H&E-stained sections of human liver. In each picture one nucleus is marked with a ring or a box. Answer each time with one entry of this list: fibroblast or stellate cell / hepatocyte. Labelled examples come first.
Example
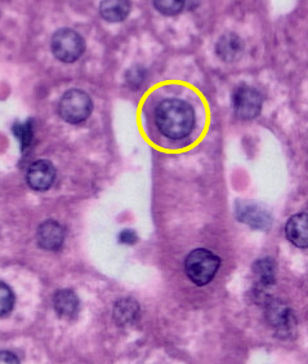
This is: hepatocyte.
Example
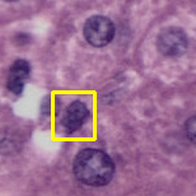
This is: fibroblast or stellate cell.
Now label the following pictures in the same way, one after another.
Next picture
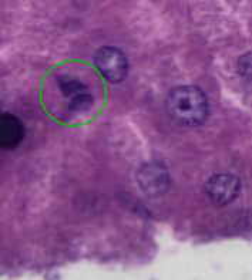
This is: fibroblast or stellate cell.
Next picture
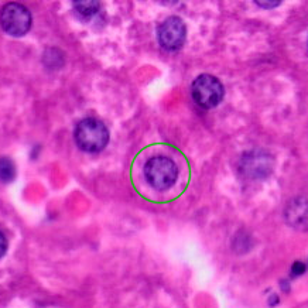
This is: hepatocyte.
